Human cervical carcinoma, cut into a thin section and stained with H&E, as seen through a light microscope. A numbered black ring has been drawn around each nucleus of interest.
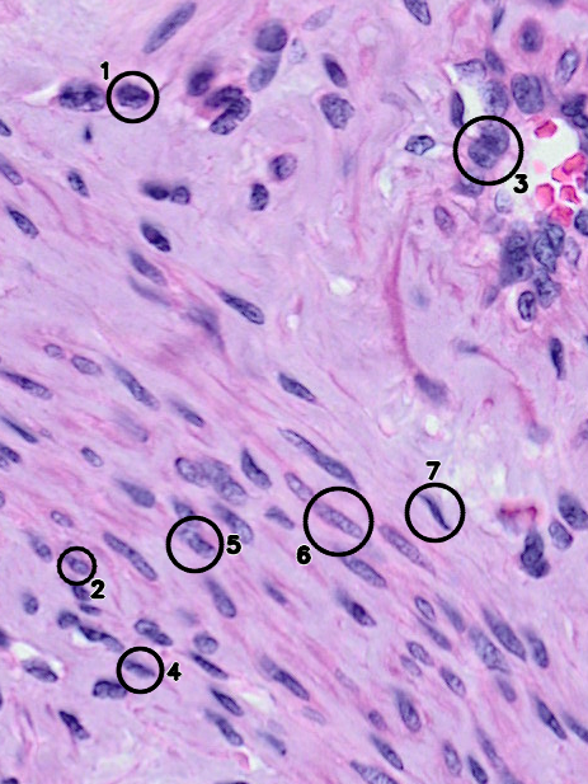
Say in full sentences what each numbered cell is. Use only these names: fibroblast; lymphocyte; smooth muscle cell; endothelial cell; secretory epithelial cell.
Cell 1 is a lymphocyte, cell 2 is a smooth muscle cell, cell 3 is an endothelial cell, cell 4 is a fibroblast, cell 5 is a smooth muscle cell, cell 6 is a smooth muscle cell and cell 7 is a fibroblast.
